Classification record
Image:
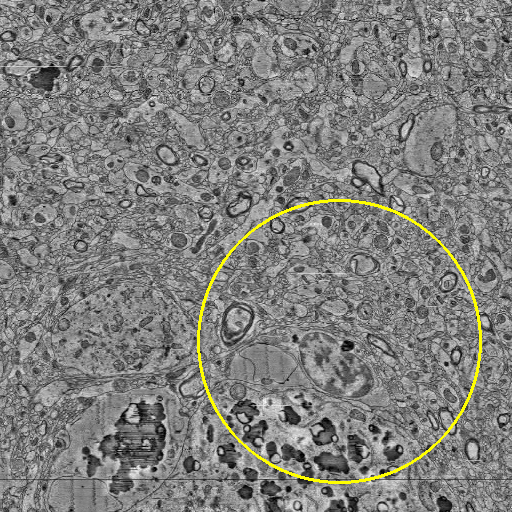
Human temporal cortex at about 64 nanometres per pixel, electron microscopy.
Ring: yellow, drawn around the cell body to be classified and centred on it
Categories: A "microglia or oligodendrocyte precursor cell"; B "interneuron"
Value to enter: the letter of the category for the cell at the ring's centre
A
